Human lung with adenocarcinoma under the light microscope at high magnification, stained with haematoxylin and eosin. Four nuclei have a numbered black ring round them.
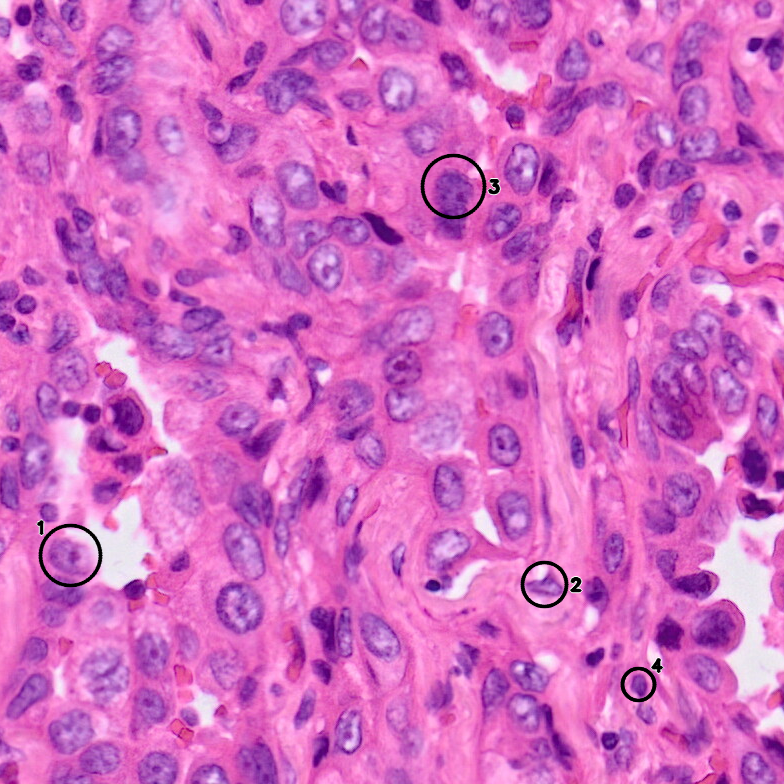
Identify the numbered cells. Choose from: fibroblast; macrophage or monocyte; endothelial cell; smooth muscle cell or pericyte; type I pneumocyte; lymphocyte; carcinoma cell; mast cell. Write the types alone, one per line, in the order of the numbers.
carcinoma cell
fibroblast
carcinoma cell
lymphocyte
